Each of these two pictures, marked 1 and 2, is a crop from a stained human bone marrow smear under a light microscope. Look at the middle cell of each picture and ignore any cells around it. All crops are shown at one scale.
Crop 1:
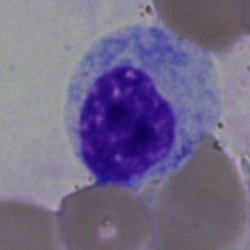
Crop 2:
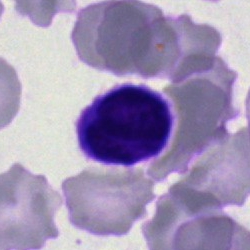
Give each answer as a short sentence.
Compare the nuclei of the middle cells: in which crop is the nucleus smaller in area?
The nucleus in crop 2 is smaller; the one in crop 1 has about 1.5 times its area.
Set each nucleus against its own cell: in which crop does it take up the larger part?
The nucleus fills more of the cell in crop 2 than in crop 1.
